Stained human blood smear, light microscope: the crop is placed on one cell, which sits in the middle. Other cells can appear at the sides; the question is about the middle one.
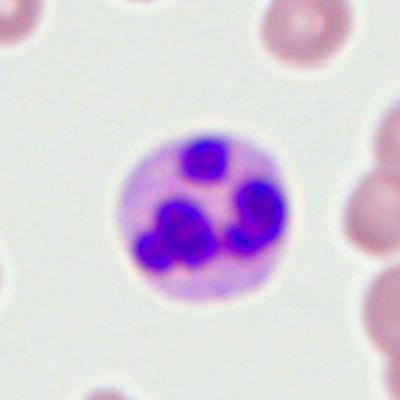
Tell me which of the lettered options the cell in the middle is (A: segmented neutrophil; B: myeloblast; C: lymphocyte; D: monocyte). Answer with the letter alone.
A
